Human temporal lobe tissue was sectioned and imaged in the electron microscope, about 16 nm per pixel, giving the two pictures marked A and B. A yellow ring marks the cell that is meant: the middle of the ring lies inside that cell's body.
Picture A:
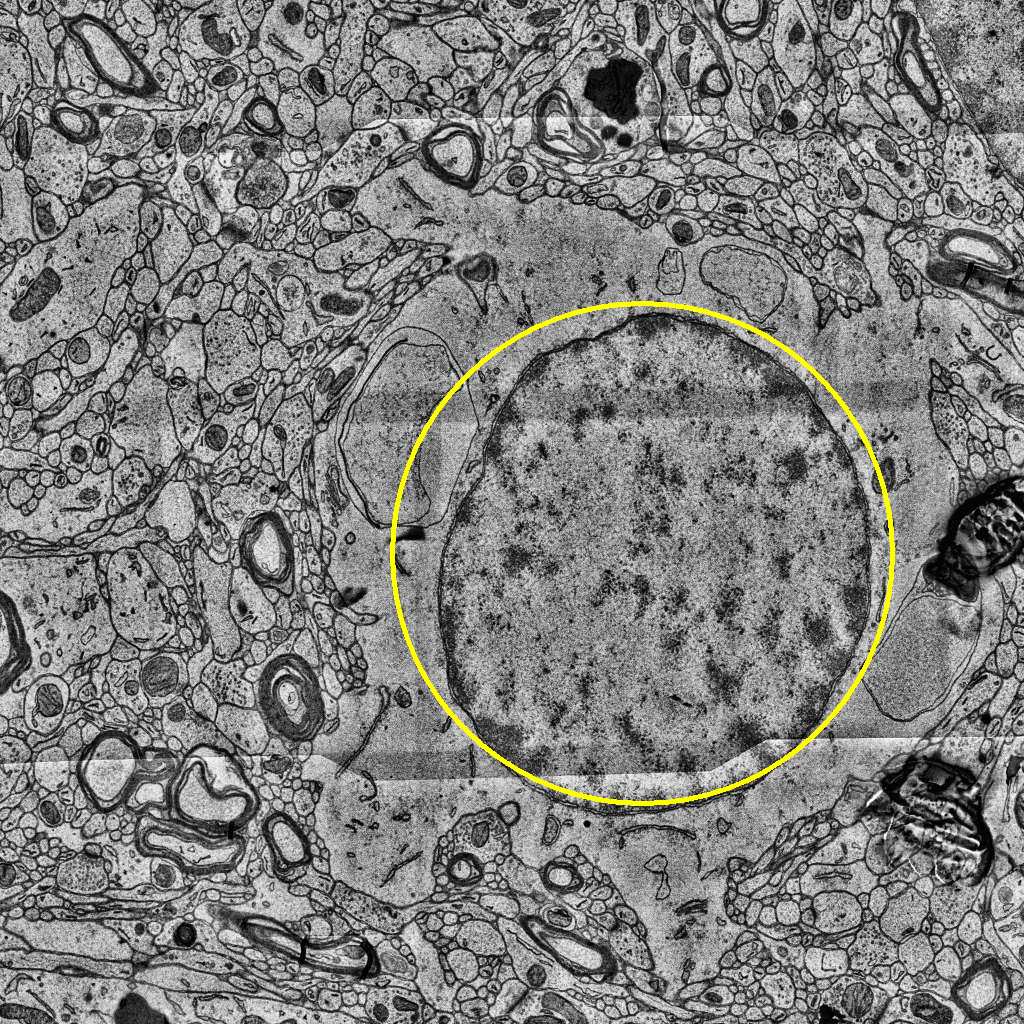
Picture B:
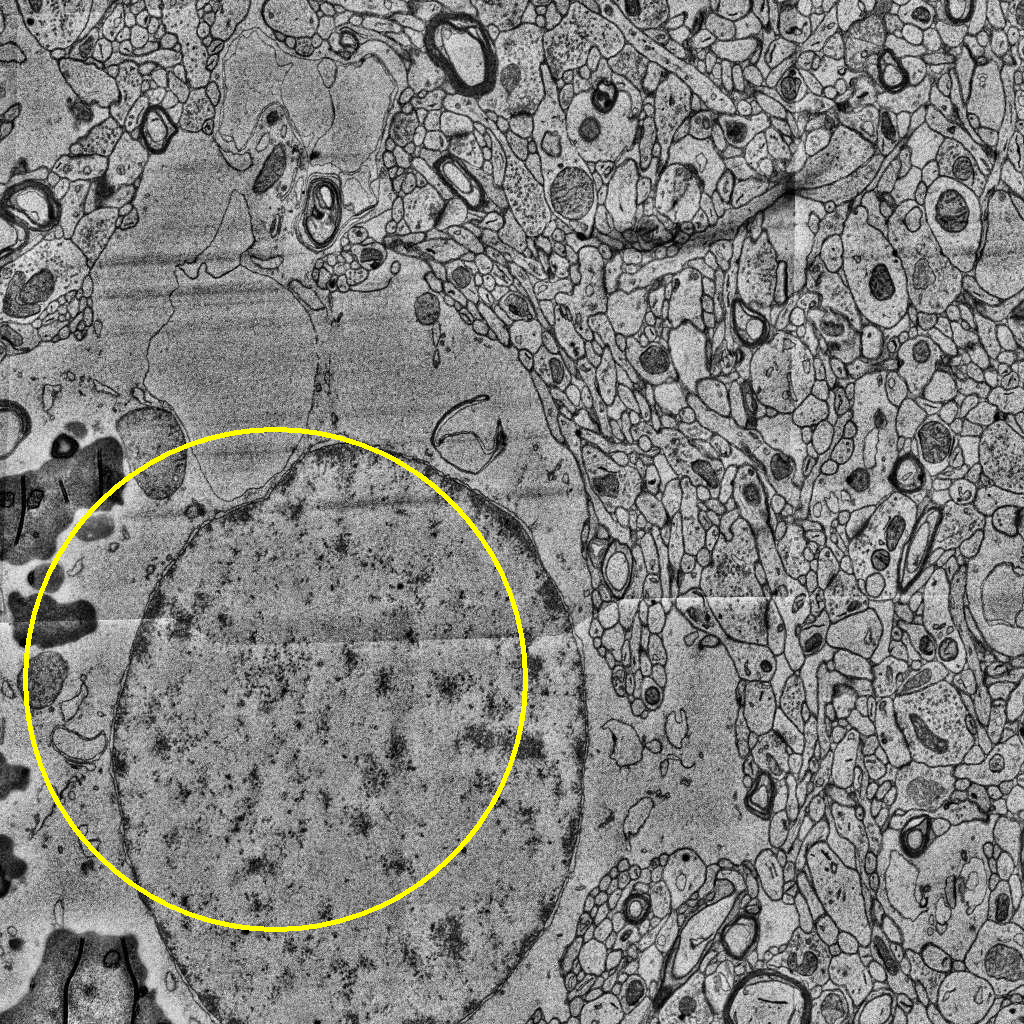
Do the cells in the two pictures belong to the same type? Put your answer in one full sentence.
Yes, both cells are astrocytes.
